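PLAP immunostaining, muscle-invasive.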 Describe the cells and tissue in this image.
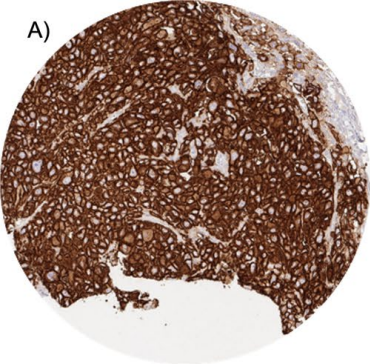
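Urothelial carcinoma growing as a solid sheet of tumor cells with only thin strands of pale stroma between them. Nearly every cell is outlined by a dense dark brown rim along its membrane, giving a honeycomb pattern; the cytoplasm inside is lighter and the nuclei appear as pale holes. The staining is uniform and strong across the sheet. A few narrow clefts and a small strip of pale stroma run at the right edge, and the lower part of the spot is empty.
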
